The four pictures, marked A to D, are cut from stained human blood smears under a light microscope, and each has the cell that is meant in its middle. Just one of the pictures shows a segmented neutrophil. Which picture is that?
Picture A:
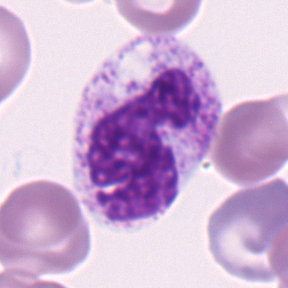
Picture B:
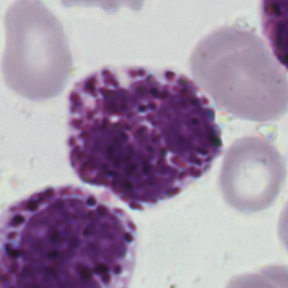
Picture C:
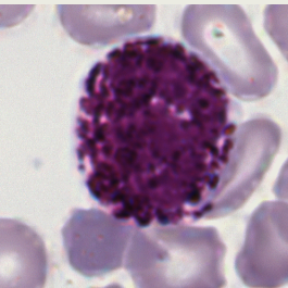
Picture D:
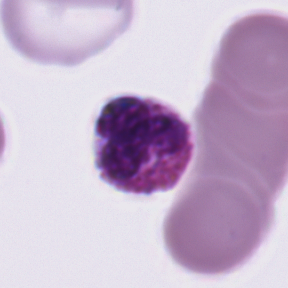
A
